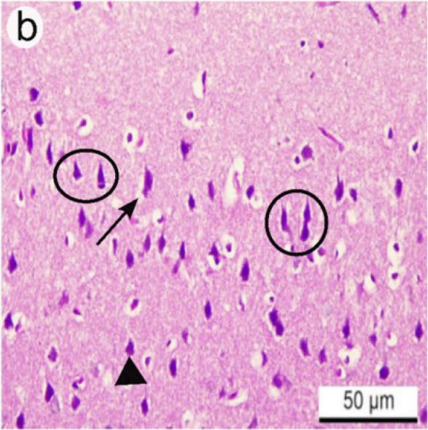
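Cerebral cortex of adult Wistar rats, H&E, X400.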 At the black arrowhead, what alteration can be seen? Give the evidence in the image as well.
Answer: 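The pink background between the cells contains small clear empty spaces.
Answer: vacuolation of the neuropil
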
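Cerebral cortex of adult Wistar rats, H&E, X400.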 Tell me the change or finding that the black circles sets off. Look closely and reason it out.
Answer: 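The circled cells are small, angular and elongated. Their nuclei and cytoplasm are stained uniformly dark purple with no visible nuclear detail.
Conclusion: shrunken and pyknotic neurons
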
